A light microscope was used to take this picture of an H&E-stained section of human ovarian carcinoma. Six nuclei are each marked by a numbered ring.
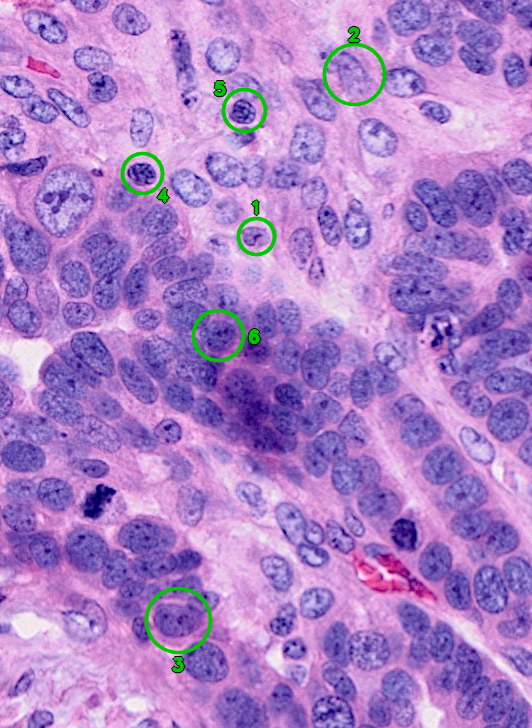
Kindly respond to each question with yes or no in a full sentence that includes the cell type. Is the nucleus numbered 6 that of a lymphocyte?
No, cell 6 is not a lymphocyte; it is a carcinoma cell.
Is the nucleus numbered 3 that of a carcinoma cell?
Yes, the cell that the number 3 labels is a carcinoma cell.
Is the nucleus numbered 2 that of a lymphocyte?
No, as for cell 2, it is a fibroblast and not a lymphocyte.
